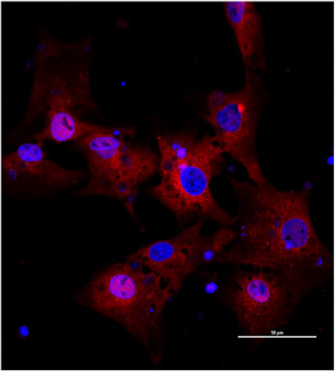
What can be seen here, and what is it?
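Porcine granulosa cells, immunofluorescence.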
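The red fluorescence fills the cytoplasm with a fine granular texture and is strongest around the nucleus, fading toward the cell margins. Round dark spaces resembling vacuoles interrupt the cytoplasm. Small scattered blue dots lie between the cells, and dark unstained gaps separate groups of cells.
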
